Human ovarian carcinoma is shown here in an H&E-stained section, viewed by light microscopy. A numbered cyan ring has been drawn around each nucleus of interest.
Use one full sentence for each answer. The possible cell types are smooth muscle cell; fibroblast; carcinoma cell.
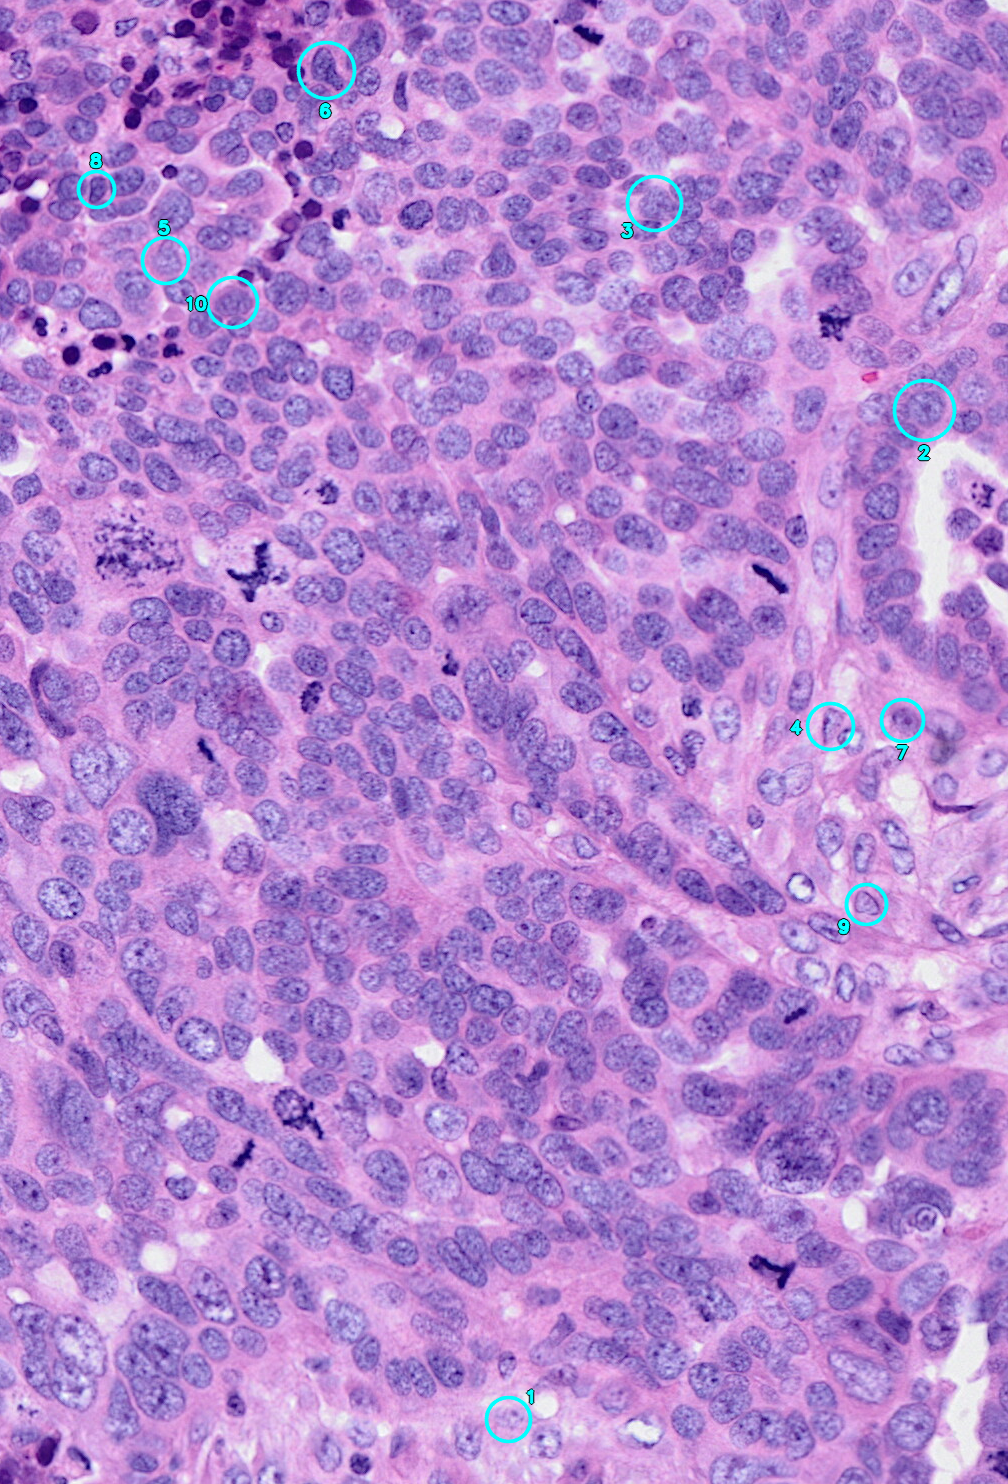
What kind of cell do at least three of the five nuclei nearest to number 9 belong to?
The majority of the five nuclei closest to number 9 belong to fibroblasts.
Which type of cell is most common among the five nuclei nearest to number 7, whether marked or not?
Around number 7, most of the five nearest nuclei are those of fibroblasts.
